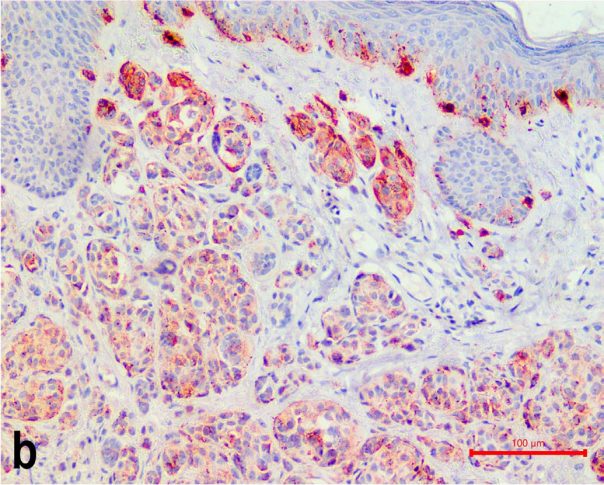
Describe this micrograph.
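Beneath a keratinized stratified squamous surface epithelium, the connective tissue is filled with rounded nests of fairly uniform cells. The cells have round to oval blue nuclei and a moderate amount of cytoplasm that takes a pink-red stain, diffusely granular rather than in the nuclei. Nests lying just under the epithelium stain more intensely red than those deeper down. Thin strands of pale fibrous stroma with spindle-shaped nuclei separate the nests, and some red granules also lie in the basal layer of the epithelium. This is a nevus made of nested melanocytes, with stronger cytoplasmic staining in the superficial cells.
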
